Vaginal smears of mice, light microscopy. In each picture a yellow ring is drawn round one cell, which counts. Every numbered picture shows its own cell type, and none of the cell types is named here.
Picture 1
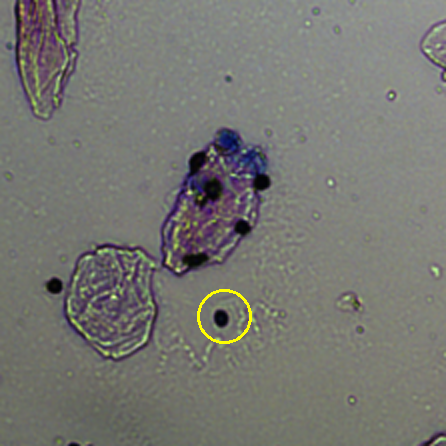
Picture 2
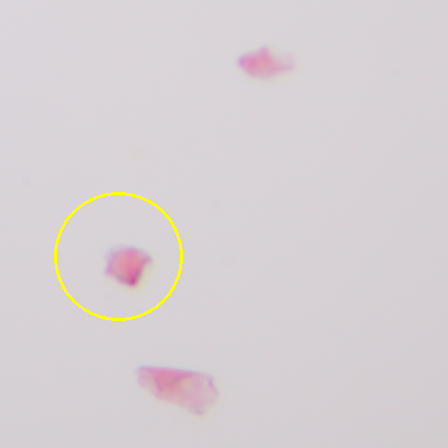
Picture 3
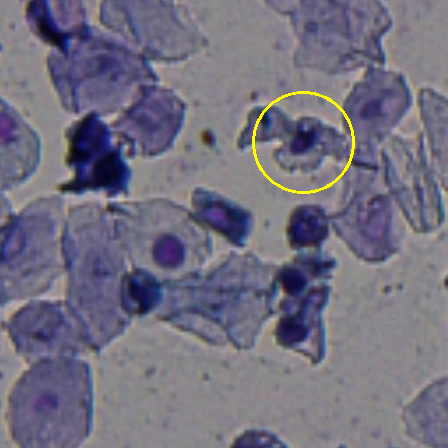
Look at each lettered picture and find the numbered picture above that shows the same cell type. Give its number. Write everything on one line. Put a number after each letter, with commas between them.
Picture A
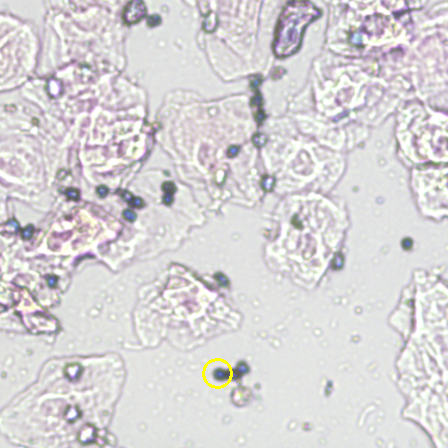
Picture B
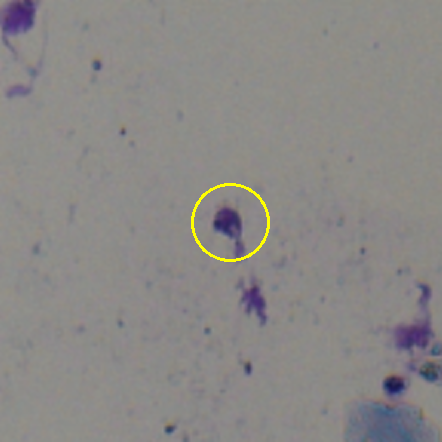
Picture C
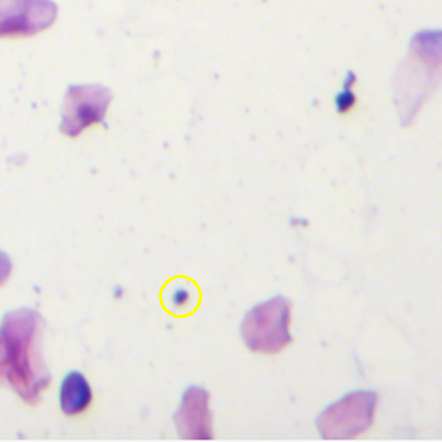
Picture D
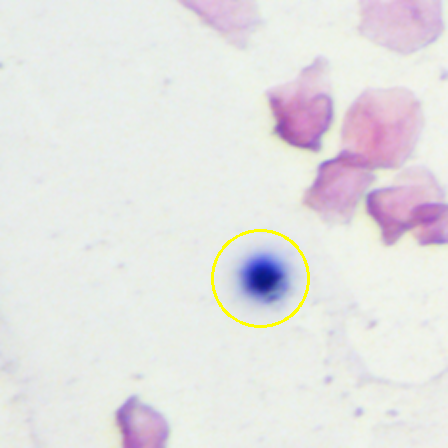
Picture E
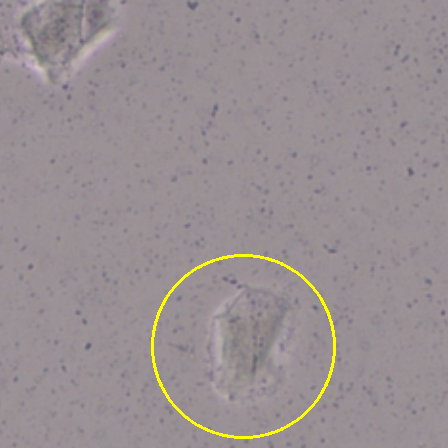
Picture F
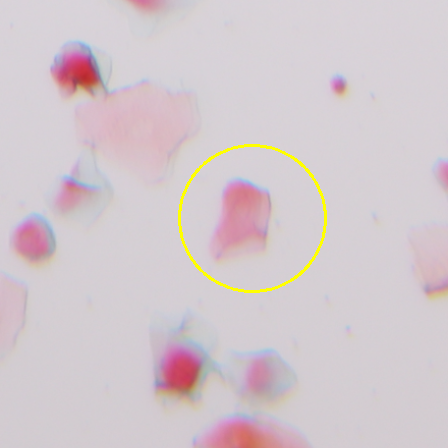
A 1, B 1, C 1, D 1, E 2, F 2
